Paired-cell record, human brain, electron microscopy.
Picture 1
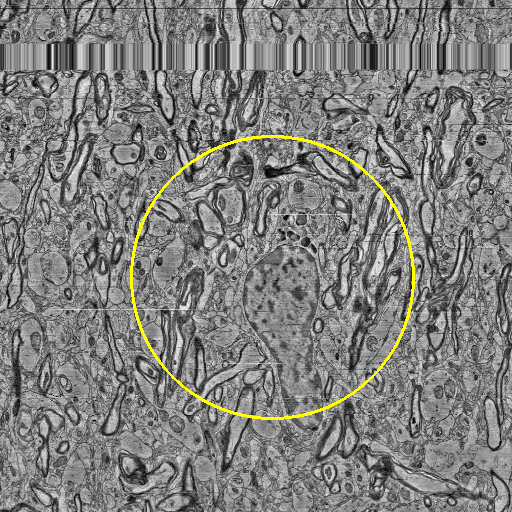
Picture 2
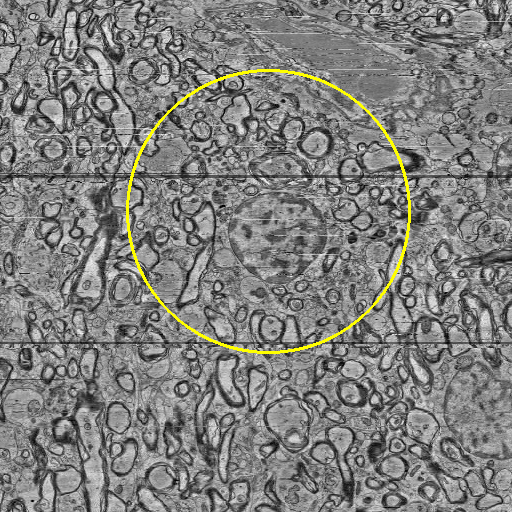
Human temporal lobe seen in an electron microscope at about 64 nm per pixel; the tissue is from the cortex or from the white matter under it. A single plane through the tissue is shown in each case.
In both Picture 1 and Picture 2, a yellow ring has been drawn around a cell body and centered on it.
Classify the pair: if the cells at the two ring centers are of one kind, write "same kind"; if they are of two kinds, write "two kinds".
same kind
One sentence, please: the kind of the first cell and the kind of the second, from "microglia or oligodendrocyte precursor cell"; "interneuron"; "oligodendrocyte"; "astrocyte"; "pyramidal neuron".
In each picture the ringed cell is a microglial cell or oligodendrocyte precursor cell.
